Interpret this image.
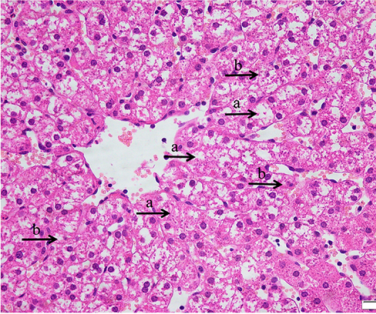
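This is liver tissue around a central vessel, with hepatocytes arranged in plates that look less orderly than usual. Many hepatocytes have pale, foamy cytoplasm filled with small clear vacuoles instead of even pink staining. Red blood cells lie within the vessel lumen and some sinusoids.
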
